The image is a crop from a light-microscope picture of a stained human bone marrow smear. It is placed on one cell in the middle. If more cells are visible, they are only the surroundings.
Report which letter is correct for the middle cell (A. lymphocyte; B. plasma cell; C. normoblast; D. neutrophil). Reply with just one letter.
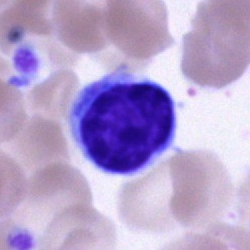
A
